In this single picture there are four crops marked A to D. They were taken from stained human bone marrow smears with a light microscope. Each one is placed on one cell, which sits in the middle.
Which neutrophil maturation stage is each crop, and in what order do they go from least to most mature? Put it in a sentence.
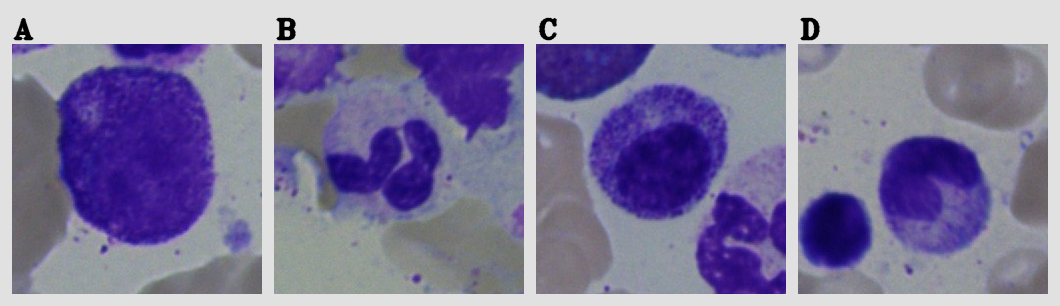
The order of the crops by rising maturity is crop A (a promyelocyte), crop C (a myelocyte), crop D (a band neutrophil) and crop B (a segmented neutrophil).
